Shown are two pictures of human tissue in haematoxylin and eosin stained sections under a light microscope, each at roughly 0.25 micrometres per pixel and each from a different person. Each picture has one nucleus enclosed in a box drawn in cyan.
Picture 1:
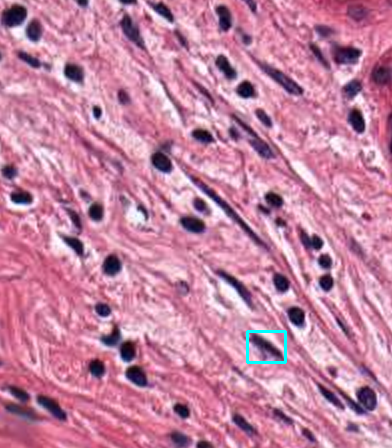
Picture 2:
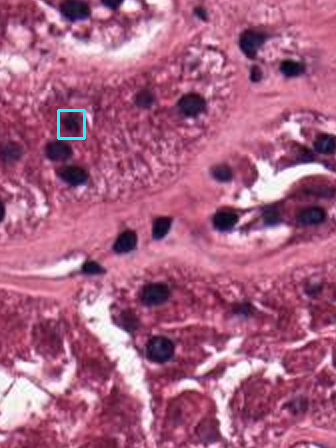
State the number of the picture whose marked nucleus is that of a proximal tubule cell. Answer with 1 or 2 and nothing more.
2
